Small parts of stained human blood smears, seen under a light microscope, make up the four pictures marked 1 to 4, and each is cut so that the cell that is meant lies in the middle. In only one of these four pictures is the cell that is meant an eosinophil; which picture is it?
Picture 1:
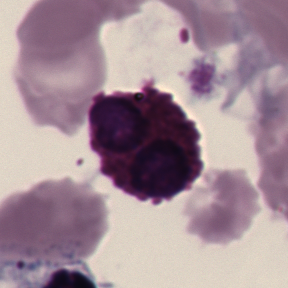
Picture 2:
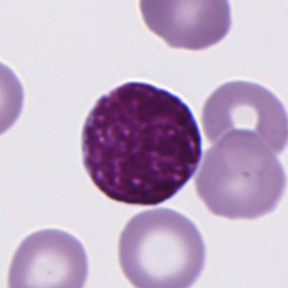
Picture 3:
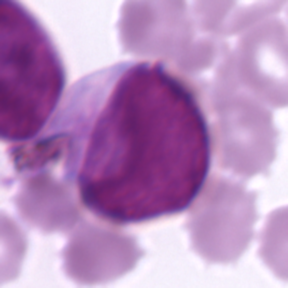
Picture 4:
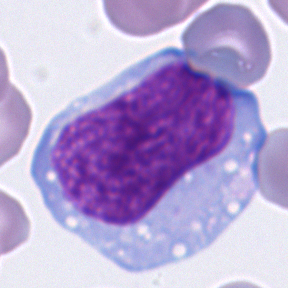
1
